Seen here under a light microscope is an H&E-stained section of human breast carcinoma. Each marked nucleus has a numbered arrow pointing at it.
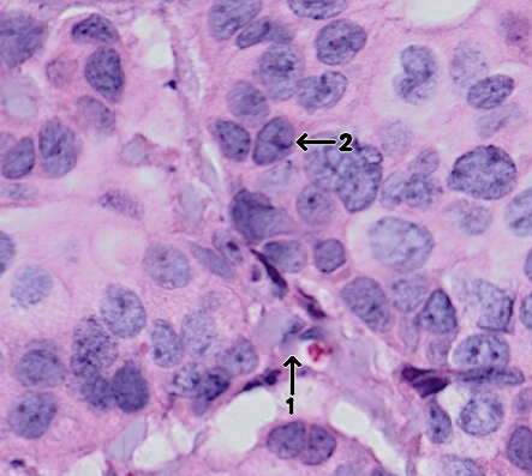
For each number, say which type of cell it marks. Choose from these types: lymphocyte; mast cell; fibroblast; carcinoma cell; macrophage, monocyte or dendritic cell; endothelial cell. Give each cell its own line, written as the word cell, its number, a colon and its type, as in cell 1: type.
cell 1: endothelial cell
cell 2: carcinoma cell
